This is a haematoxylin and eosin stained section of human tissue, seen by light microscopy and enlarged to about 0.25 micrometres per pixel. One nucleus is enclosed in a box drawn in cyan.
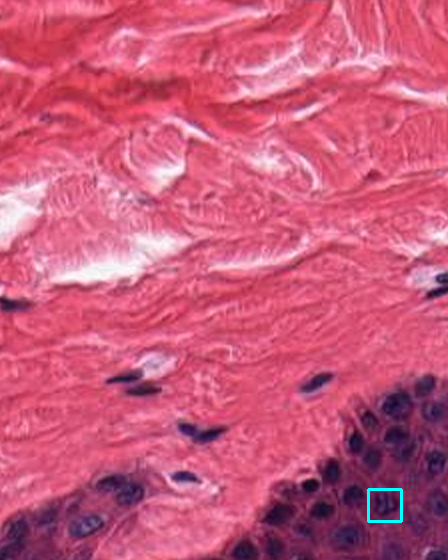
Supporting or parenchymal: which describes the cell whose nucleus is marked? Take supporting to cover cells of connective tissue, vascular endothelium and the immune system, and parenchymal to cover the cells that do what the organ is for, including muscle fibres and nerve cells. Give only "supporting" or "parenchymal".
parenchymal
